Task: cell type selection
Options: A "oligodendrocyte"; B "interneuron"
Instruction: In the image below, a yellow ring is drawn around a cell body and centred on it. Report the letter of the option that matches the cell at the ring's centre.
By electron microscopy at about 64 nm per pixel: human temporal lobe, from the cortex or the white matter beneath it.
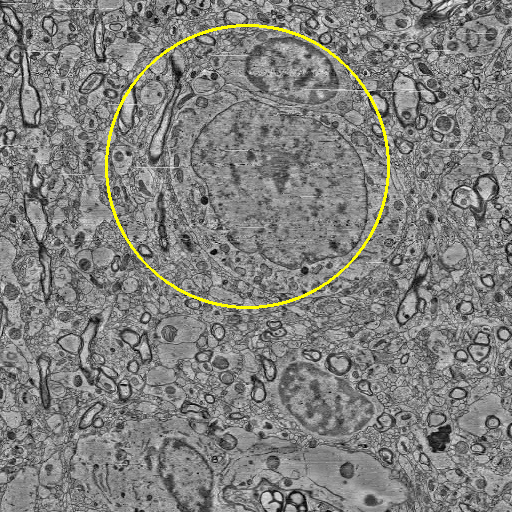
B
